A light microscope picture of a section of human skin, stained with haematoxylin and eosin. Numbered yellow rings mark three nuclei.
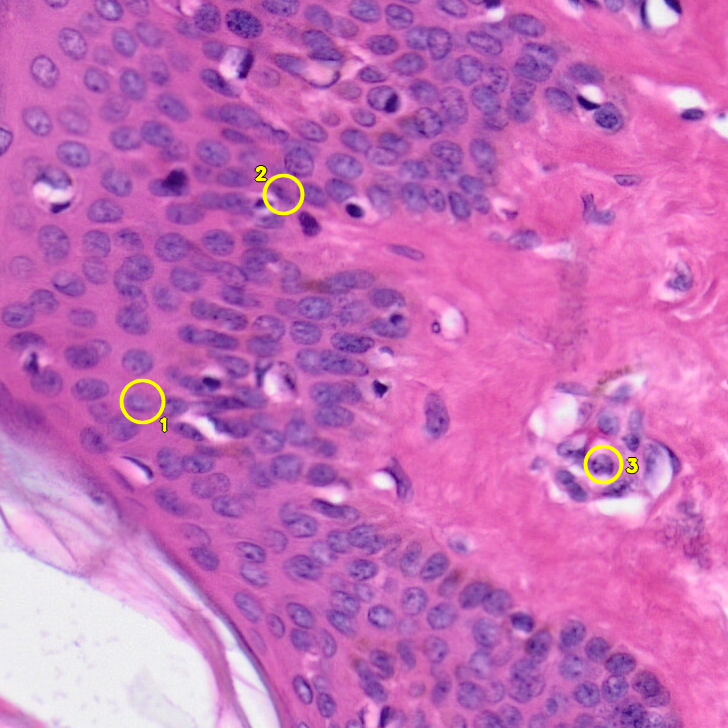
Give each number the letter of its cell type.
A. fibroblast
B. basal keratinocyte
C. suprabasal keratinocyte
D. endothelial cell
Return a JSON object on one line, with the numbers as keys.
{"1": "C", "2": "B", "3": "D"}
